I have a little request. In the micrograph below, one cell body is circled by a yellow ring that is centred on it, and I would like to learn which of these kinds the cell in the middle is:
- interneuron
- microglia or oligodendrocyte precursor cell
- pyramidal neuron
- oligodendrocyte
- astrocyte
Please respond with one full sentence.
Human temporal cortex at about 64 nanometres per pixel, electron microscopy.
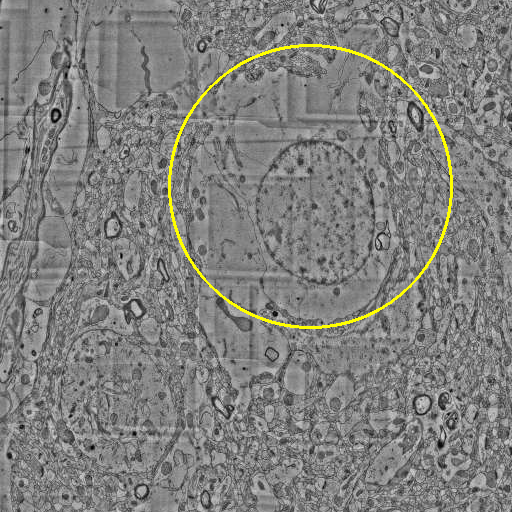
The cell sitting in the middle of the yellow ring in the micrograph is an astrocyte.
